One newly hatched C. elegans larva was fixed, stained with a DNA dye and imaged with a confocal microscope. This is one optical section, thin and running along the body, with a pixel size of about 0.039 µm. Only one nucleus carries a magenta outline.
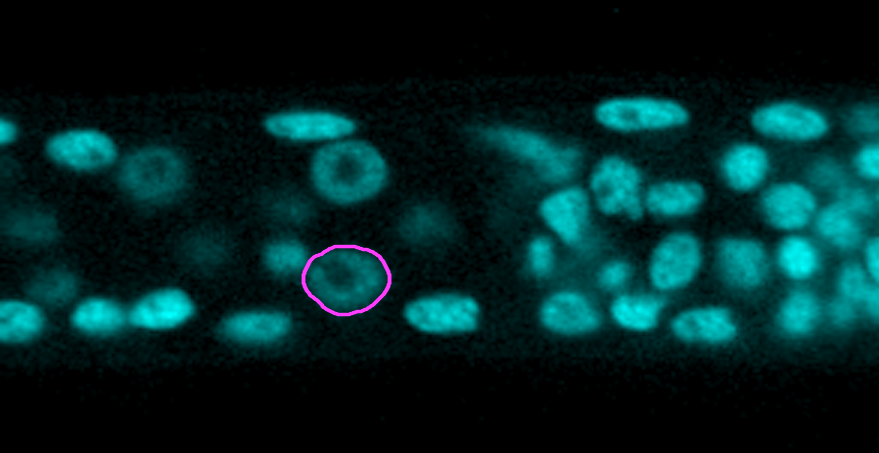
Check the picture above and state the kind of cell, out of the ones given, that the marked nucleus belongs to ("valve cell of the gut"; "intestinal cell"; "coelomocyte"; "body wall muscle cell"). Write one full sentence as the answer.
The marked cell is an intestinal cell.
